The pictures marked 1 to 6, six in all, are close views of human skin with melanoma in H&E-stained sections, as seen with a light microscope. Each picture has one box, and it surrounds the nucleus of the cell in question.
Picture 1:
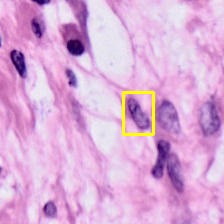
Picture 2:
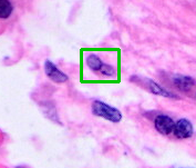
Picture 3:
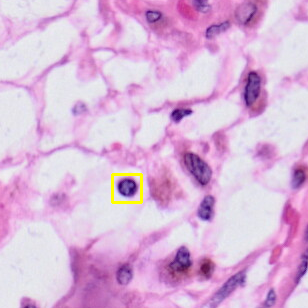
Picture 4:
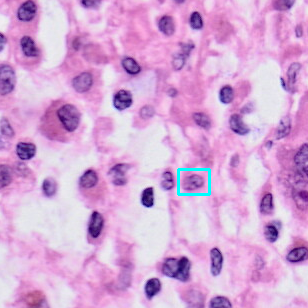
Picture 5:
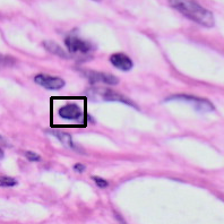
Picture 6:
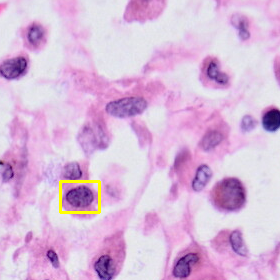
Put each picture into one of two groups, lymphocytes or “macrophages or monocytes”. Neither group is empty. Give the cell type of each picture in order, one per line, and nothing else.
macrophage or monocyte
macrophage or monocyte
lymphocyte
macrophage or monocyte
lymphocyte
macrophage or monocyte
